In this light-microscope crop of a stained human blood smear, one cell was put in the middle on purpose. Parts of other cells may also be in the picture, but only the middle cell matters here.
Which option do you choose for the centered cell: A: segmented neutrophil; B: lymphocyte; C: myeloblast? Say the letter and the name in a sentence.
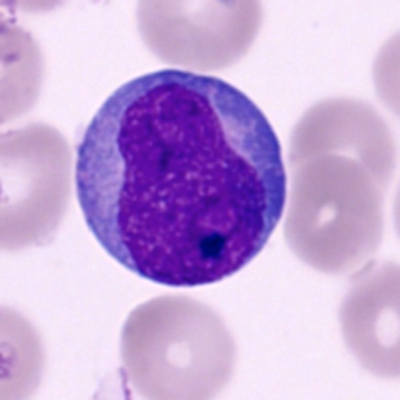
Option C holds up: the cell in the middle is a myeloblast.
